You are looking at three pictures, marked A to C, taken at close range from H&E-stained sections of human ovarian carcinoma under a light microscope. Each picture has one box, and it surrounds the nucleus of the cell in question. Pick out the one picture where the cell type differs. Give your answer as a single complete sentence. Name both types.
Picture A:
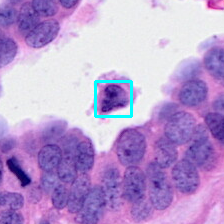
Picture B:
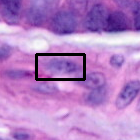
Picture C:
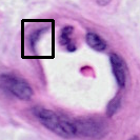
The different one is picture A; it shows a “macrophage or monocyte”, whereas all the others show endothelial cells.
